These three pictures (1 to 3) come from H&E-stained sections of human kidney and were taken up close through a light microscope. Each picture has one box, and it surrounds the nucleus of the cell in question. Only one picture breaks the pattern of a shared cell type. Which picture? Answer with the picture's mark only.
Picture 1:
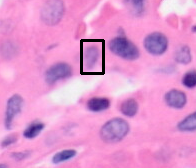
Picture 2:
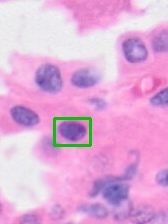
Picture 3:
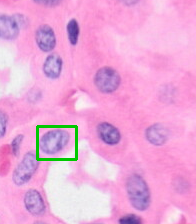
2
